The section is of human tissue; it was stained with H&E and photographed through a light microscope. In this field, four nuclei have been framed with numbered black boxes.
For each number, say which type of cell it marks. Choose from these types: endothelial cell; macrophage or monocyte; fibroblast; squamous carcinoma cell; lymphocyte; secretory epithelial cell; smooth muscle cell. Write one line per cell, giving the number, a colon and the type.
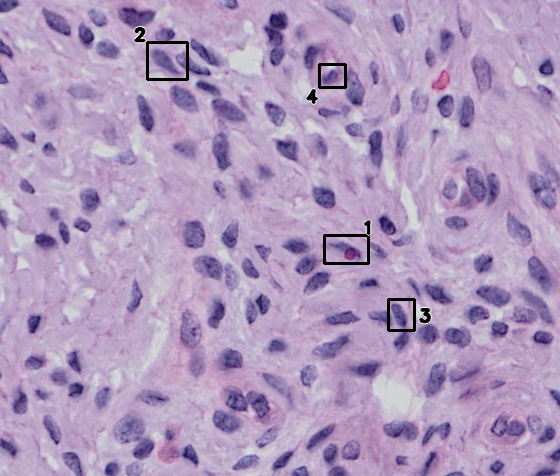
1: fibroblast
2: fibroblast
3: fibroblast
4: endothelial cell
